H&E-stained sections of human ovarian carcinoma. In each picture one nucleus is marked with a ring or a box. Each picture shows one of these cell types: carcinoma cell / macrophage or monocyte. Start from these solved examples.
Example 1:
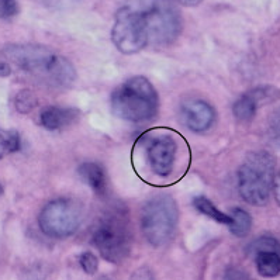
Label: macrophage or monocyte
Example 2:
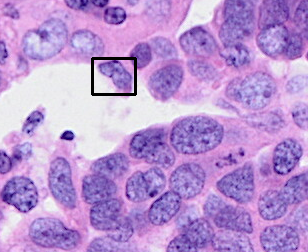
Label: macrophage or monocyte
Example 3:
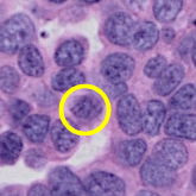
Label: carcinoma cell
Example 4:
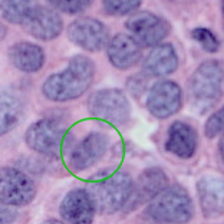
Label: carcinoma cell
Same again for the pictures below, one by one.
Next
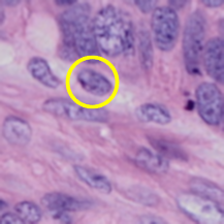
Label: macrophage or monocyte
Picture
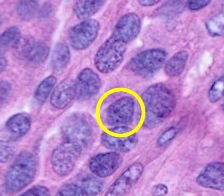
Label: carcinoma cell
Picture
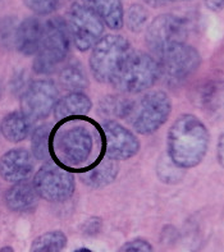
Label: carcinoma cell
